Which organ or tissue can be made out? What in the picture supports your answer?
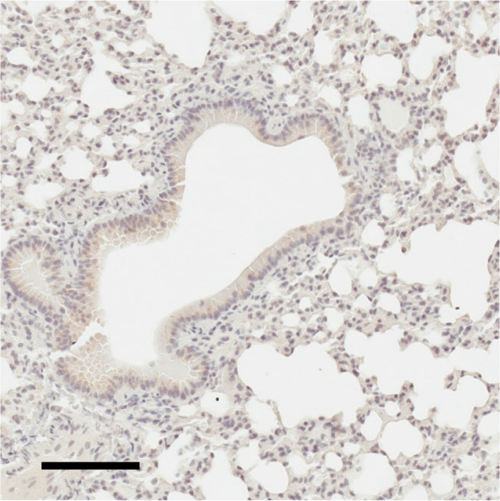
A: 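Many thin-walled air spaces separated by delicate septa. A central airway lined by a single layer of columnar epithelium.
Answer: lungs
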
